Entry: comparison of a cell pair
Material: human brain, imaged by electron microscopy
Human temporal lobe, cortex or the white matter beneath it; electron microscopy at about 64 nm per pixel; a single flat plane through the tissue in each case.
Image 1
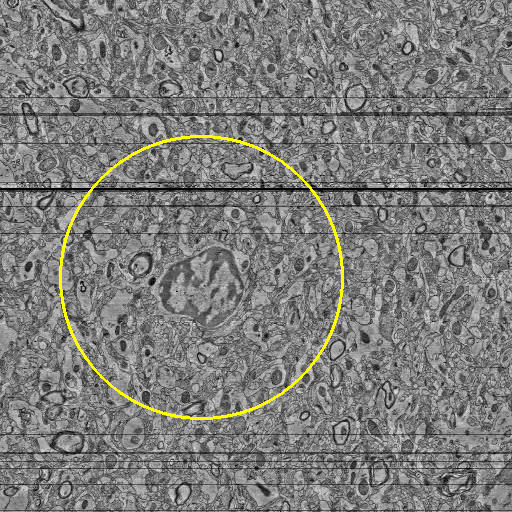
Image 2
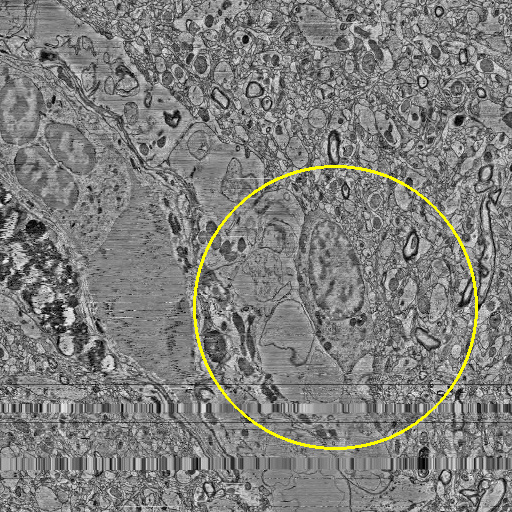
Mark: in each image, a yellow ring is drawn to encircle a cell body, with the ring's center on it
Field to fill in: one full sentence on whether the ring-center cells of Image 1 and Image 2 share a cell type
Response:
No, Image 1 and Image 2 show ring-center cells of two separate types.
